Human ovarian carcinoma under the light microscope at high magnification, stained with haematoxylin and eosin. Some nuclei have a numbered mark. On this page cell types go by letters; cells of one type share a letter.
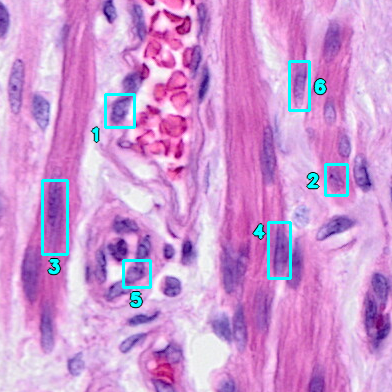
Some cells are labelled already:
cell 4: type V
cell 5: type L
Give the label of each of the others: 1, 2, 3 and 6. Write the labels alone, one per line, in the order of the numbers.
type L
type V
type V
type V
